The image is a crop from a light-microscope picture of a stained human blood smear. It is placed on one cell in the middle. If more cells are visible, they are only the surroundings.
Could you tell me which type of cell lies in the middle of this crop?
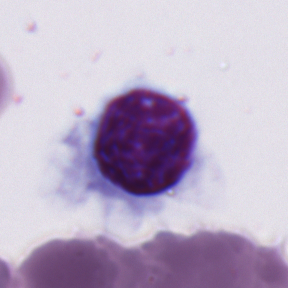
hairy cell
